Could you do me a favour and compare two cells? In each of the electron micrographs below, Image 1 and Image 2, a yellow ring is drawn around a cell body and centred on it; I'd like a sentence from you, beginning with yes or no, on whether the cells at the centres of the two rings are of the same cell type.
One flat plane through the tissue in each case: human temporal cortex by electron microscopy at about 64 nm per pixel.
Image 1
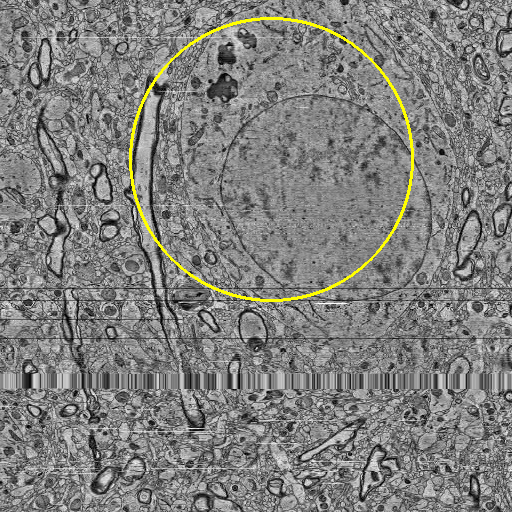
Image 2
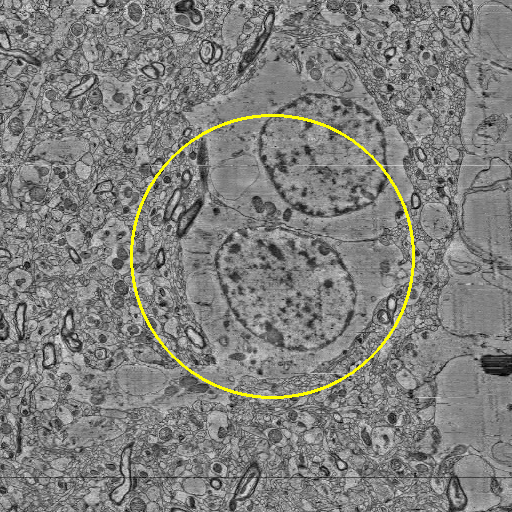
No, the two cells are of two cell types.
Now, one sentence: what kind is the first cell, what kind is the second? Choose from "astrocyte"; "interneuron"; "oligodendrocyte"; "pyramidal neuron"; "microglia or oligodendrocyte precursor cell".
The first picture has a pyramidal neuron at its ring centre, and the second has an astrocyte.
